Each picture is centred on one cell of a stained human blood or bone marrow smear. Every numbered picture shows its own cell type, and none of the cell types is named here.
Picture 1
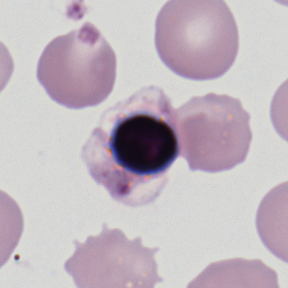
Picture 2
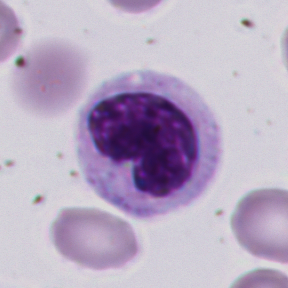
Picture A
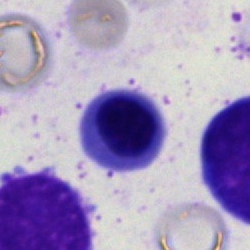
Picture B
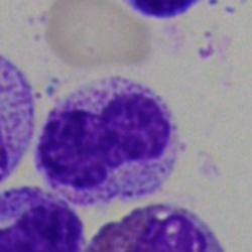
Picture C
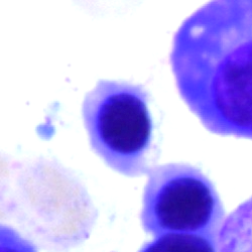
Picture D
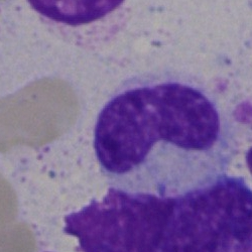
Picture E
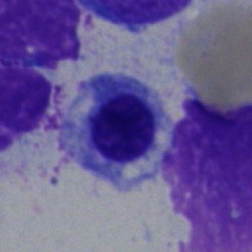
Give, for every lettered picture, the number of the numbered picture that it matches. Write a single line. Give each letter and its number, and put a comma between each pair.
A 1, B 2, C 1, D 2, E 1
